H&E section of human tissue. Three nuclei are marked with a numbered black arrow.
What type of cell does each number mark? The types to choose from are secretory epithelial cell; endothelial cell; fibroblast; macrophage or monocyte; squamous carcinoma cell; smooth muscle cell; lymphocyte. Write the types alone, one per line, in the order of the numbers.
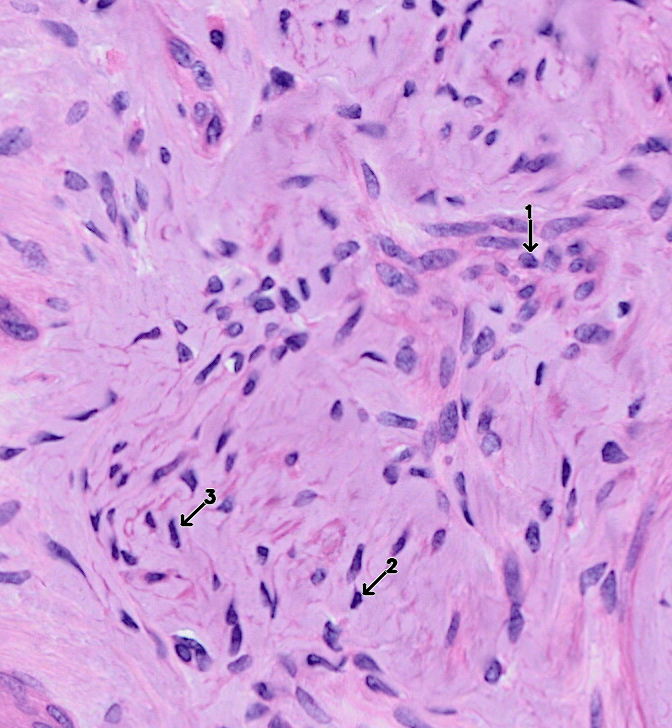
smooth muscle cell
fibroblast
fibroblast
